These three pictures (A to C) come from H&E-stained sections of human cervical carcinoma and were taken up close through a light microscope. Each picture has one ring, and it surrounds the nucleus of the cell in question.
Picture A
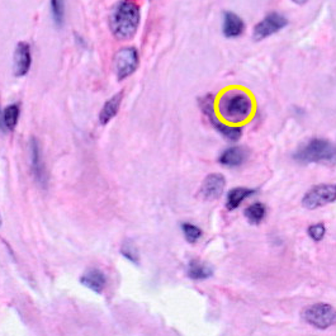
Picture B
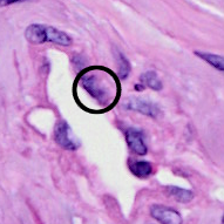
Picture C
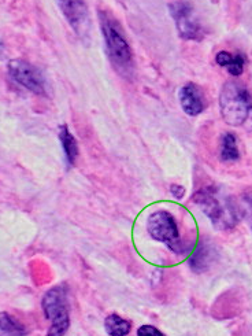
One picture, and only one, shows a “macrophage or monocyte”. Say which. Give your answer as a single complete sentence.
Picture C shows the “macrophage or monocyte”.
